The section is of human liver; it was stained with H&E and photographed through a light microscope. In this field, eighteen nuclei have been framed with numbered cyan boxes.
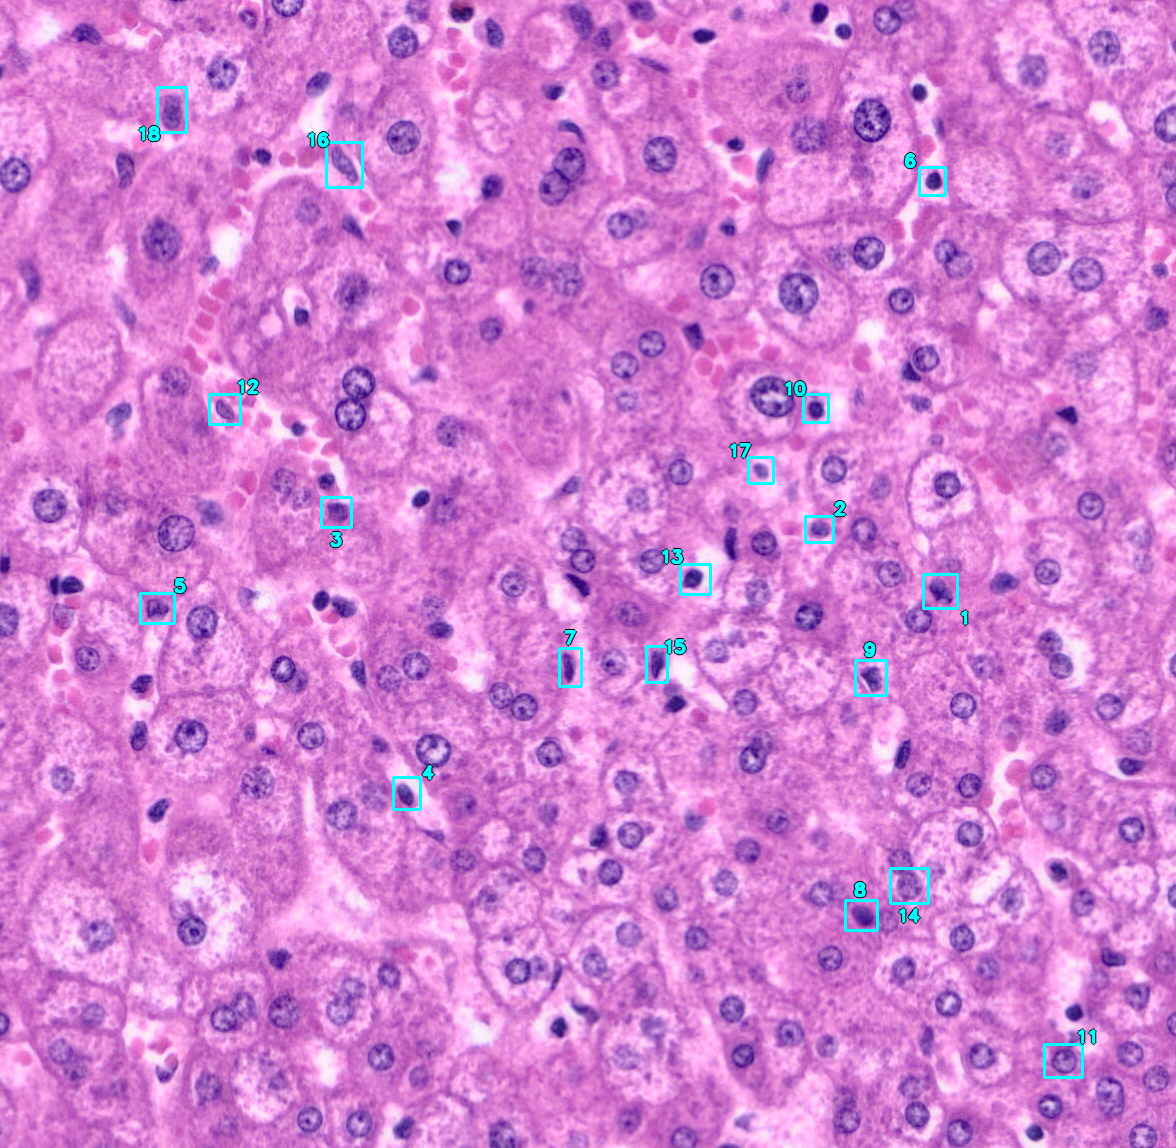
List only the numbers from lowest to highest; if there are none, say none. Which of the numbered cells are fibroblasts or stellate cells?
1, 8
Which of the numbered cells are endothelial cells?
3, 5, 7, 9, 15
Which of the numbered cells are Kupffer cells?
12, 16, 18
